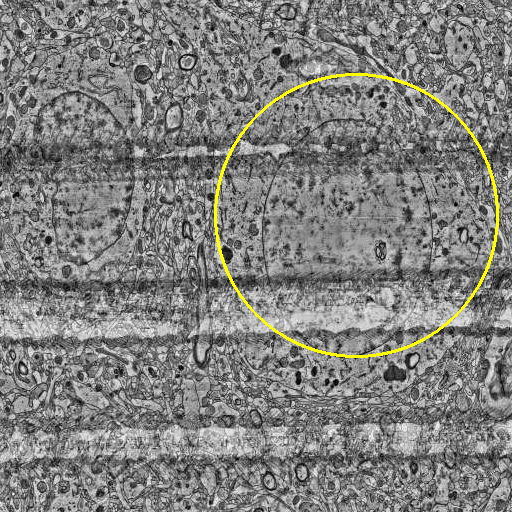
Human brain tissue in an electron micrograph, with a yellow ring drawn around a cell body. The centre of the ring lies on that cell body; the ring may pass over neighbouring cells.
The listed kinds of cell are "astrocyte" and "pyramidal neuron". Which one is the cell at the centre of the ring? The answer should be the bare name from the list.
pyramidal neuron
